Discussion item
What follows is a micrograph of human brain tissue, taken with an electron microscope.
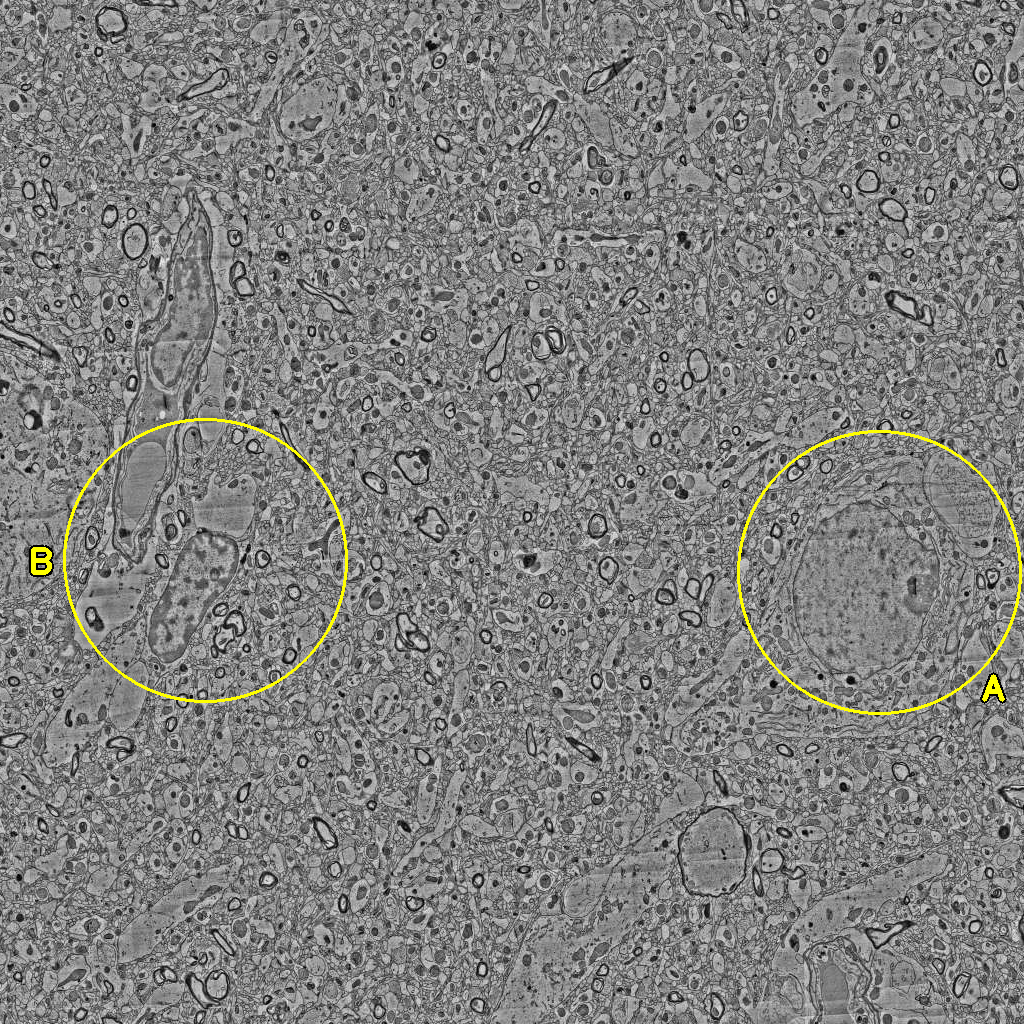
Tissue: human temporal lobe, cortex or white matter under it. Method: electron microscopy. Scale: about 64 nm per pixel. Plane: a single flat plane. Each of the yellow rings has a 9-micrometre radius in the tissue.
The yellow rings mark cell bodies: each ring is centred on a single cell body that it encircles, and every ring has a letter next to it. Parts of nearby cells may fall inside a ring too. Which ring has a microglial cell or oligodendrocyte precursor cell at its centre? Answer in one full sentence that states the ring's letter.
Ring B is the ring whose centre falls on the cell the question asks about.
